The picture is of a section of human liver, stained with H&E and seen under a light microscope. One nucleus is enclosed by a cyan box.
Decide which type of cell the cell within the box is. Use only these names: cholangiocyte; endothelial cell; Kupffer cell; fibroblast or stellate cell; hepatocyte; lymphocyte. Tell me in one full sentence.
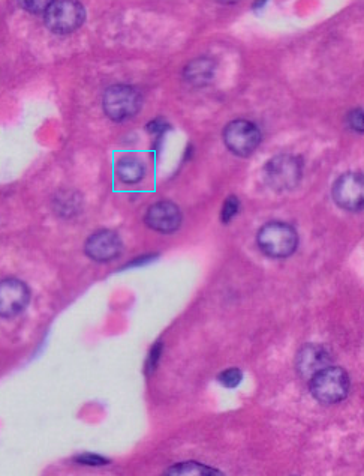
Within this tissue, the cell within the box is a cholangiocyte.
